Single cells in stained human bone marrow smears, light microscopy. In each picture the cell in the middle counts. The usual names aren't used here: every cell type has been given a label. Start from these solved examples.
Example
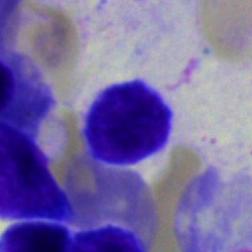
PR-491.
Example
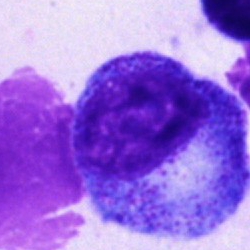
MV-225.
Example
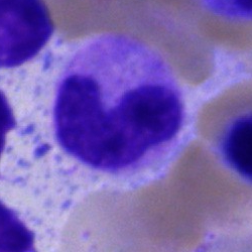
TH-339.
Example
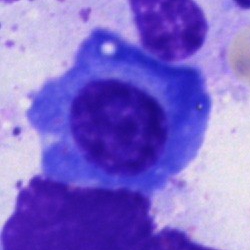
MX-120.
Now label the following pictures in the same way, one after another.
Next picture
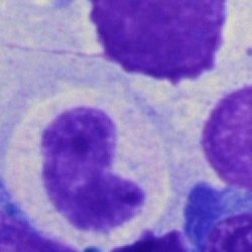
TH-339.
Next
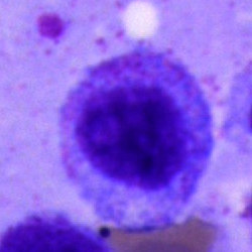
MV-225.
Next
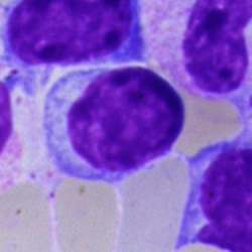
PR-491.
